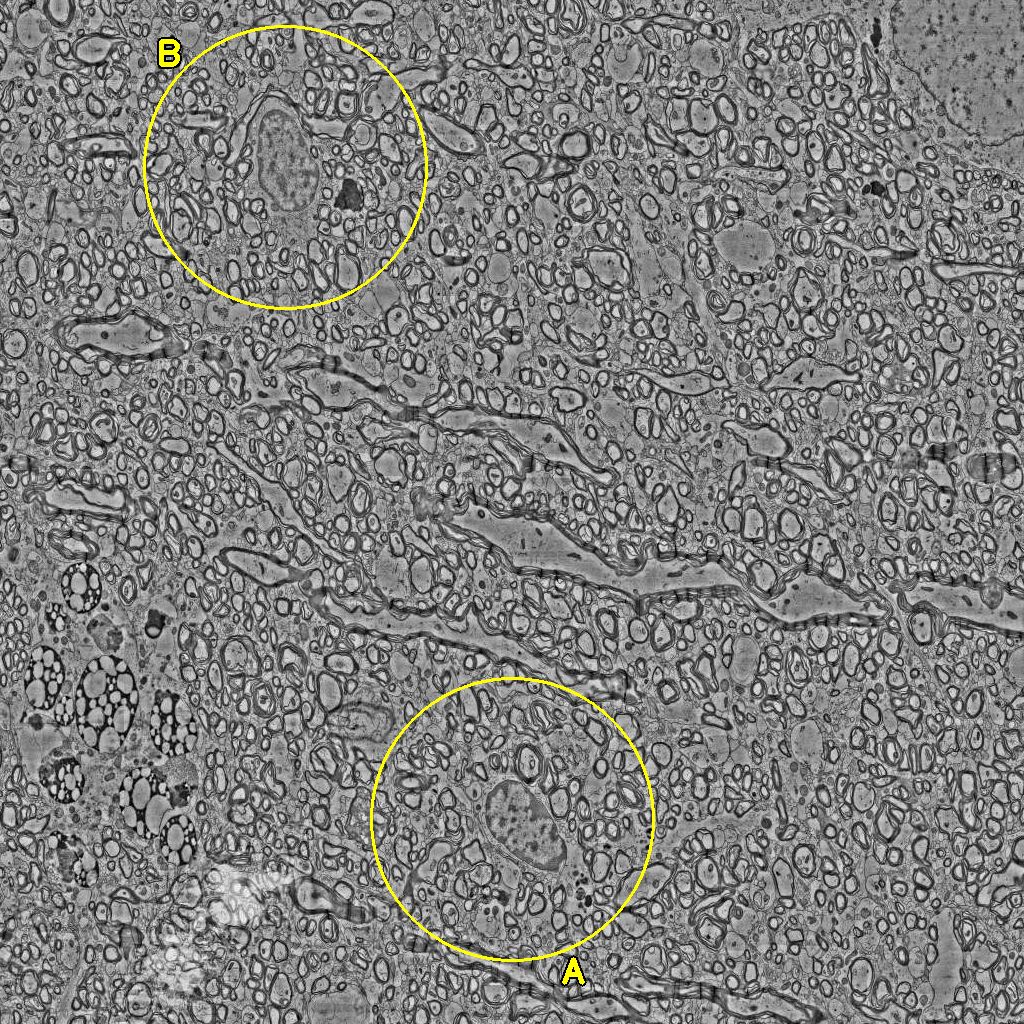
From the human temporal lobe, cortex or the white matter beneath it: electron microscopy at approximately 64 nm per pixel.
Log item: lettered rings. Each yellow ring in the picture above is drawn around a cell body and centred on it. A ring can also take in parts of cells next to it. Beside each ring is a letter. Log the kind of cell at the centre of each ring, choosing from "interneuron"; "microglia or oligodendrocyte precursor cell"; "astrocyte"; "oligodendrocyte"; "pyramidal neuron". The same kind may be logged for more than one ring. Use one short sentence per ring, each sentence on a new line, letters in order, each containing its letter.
Within ring A, the centre is taken by a microglial cell or oligodendrocyte precursor cell.
Within ring B, the centre is taken by an oligodendrocyte.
